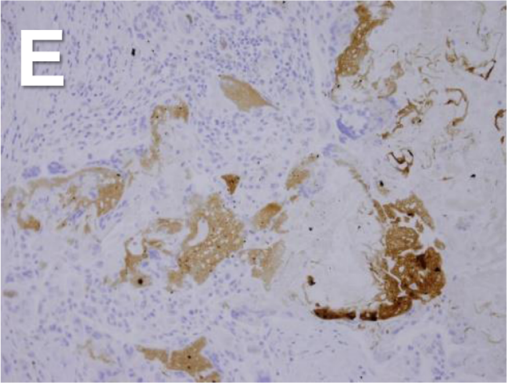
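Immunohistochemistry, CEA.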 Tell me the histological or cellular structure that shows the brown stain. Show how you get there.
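Brown stain lies in amorphous extracellular clumps. The surrounding cells are unstained with blue nuclei. The answer: secretion.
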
